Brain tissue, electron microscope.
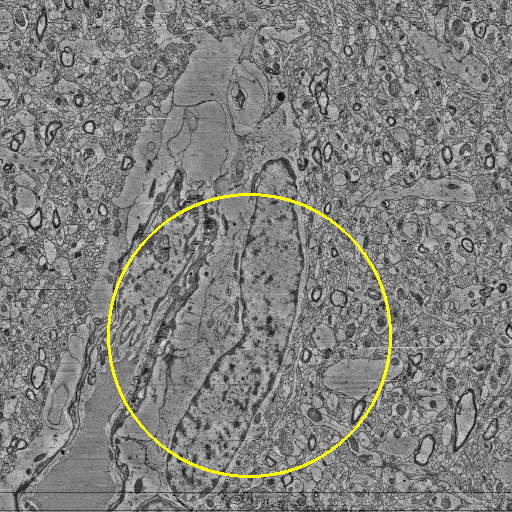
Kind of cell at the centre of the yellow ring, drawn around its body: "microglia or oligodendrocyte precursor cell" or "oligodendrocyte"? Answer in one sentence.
The ring's centre falls on a microglial cell or oligodendrocyte precursor cell.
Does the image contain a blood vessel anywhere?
Yes, a blood vessel shows in the picture.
